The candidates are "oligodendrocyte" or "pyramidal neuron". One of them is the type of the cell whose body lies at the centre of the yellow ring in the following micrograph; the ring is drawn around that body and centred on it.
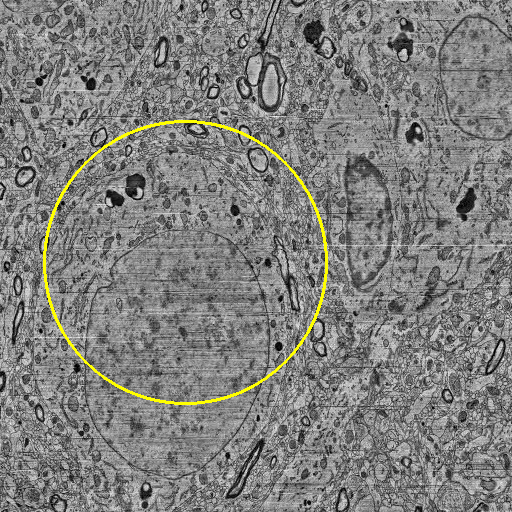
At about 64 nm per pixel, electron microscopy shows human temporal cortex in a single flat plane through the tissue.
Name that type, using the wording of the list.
pyramidal neuron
